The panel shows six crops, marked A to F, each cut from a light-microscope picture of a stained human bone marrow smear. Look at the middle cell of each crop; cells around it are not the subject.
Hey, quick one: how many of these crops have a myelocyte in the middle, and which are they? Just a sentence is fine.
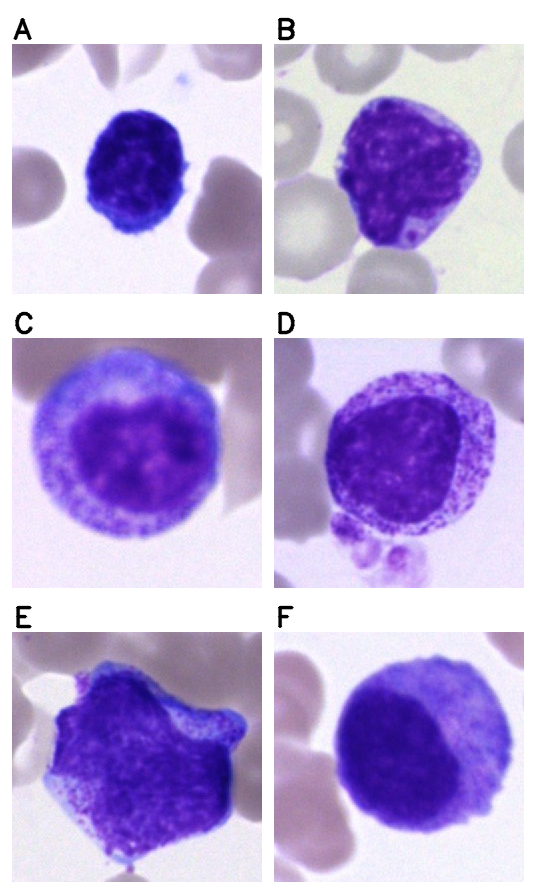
Of the several crops, crop D is the one with a myelocyte.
